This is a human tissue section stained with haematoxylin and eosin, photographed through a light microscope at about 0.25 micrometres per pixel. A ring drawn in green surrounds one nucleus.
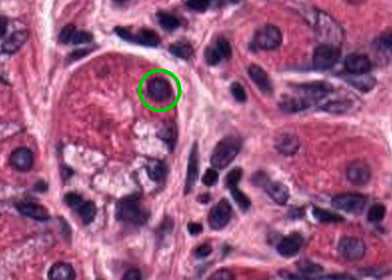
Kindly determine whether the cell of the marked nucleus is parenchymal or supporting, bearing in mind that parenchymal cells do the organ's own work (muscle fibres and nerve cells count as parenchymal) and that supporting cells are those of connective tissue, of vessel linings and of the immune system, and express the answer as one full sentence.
The marked nucleus is attributed to a parenchymal cell, namely a parietal cell.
